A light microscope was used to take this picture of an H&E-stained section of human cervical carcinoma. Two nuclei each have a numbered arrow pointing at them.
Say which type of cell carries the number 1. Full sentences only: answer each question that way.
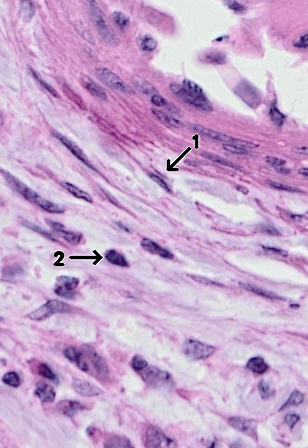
The nucleus marked 1 is the nucleus of a fibroblast.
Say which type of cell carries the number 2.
The cell given label 2 is a lymphocyte.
